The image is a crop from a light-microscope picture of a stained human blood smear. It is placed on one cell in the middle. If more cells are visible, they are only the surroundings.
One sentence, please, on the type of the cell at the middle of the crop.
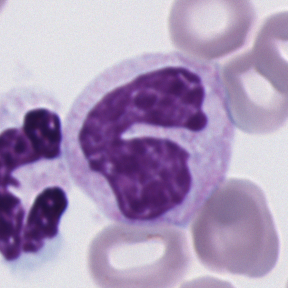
Looking at the middle of the crop, the cell there is a band neutrophil.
